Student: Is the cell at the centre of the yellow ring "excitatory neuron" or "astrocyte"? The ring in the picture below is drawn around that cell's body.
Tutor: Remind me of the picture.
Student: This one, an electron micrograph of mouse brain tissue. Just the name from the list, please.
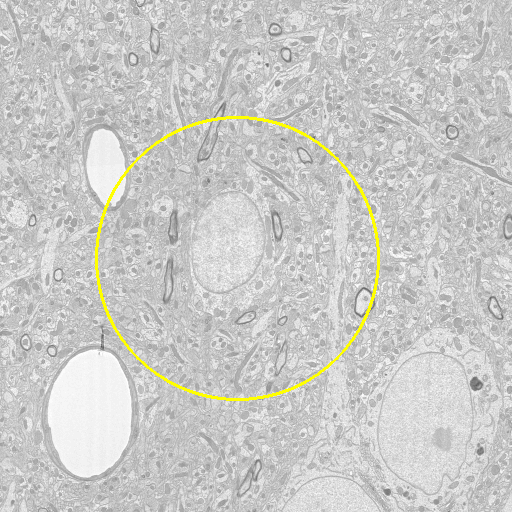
astrocyte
